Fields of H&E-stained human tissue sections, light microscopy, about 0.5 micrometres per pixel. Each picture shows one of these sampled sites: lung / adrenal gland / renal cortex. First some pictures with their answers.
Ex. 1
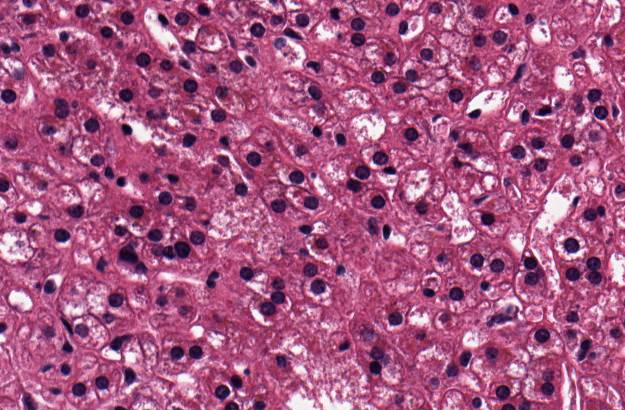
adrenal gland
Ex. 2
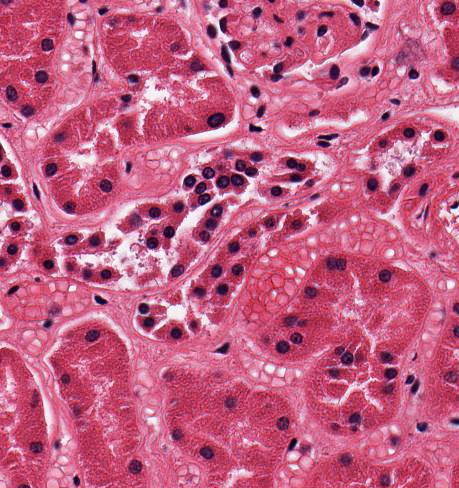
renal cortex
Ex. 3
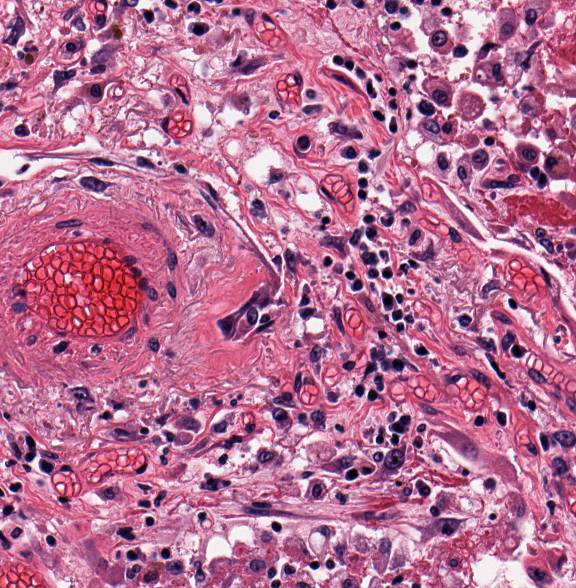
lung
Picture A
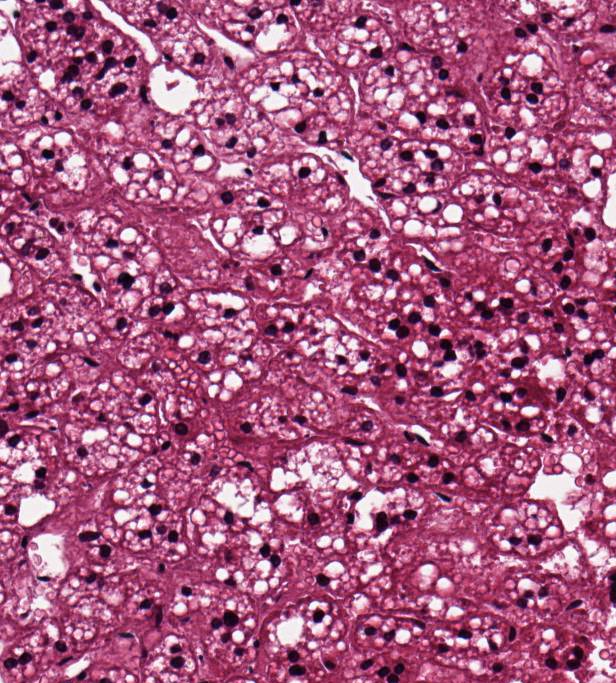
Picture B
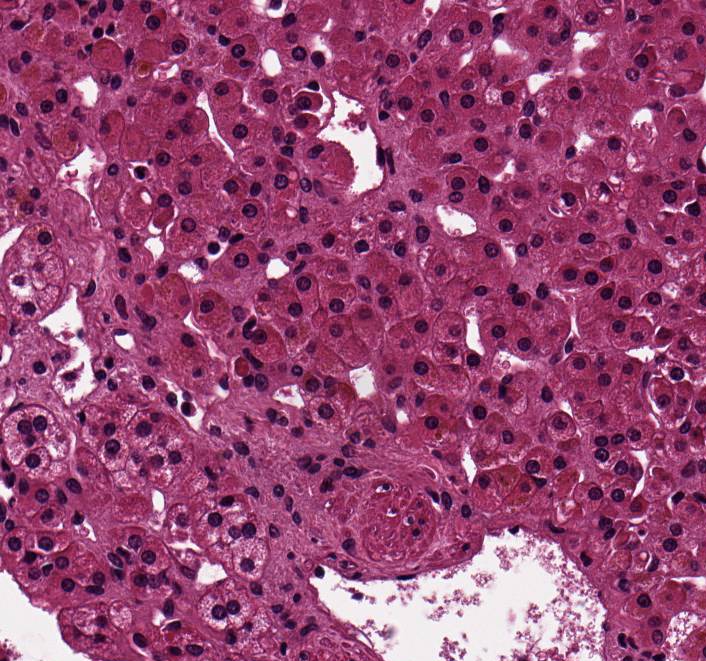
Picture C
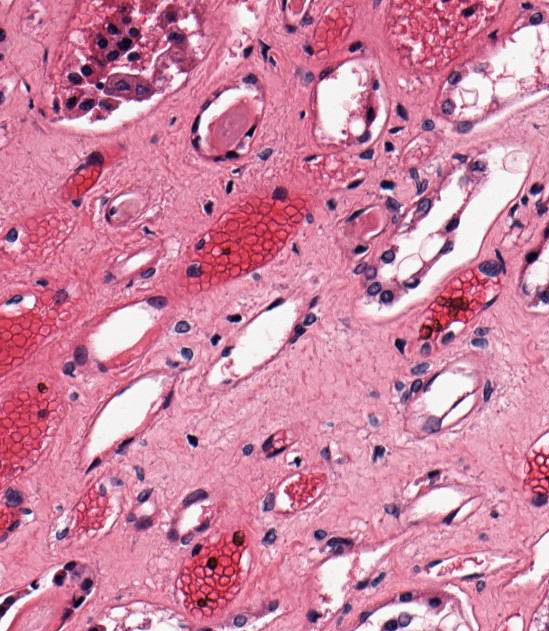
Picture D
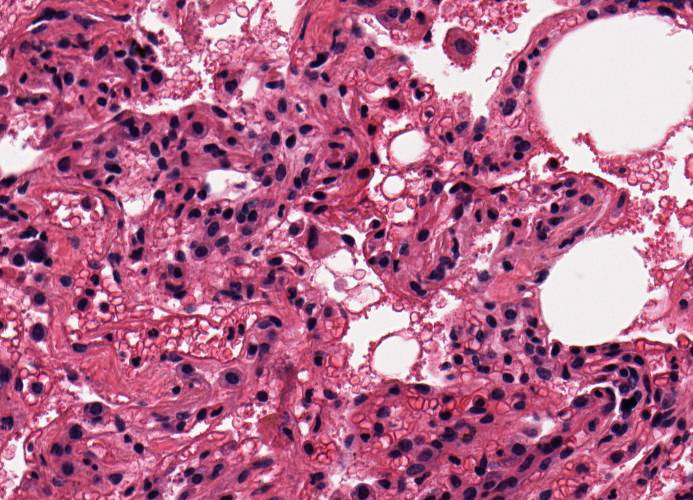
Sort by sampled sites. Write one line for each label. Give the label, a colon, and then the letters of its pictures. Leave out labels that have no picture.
lung: D
adrenal gland: A, B
renal cortex: C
